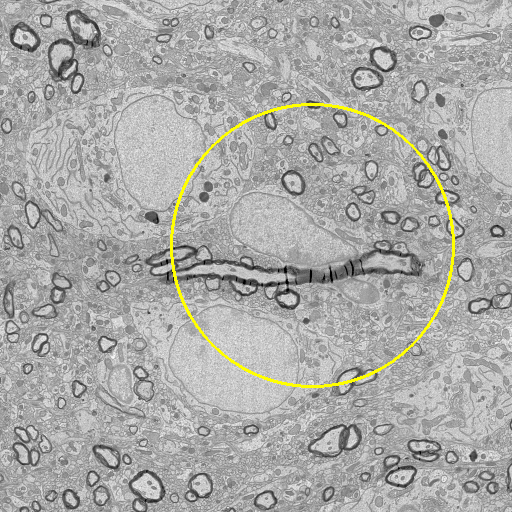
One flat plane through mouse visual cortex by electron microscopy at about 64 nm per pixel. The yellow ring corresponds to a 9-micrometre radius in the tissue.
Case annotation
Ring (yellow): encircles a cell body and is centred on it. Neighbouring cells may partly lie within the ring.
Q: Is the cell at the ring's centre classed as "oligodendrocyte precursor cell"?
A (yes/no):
yes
